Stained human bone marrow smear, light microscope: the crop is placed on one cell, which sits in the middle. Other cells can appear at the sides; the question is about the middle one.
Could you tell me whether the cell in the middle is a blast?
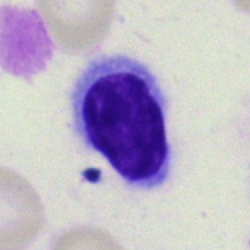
no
